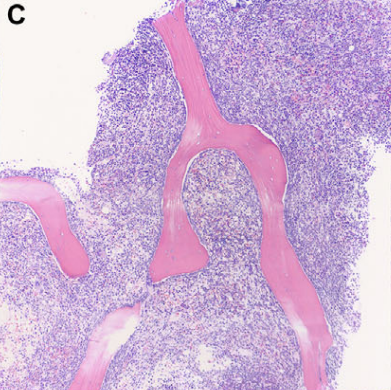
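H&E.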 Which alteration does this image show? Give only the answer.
Hypercellular marrow.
